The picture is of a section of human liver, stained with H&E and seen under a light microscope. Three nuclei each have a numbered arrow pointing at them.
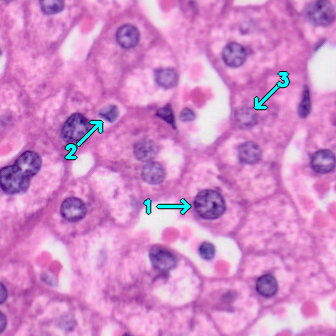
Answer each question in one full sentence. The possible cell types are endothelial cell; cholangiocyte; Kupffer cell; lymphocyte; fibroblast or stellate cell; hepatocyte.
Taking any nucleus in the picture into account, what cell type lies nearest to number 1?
It is a lymphocyte whose nucleus is nearest to number 1.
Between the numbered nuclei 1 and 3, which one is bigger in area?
It is nucleus 1, which covers about 2 times the area of nucleus 3.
